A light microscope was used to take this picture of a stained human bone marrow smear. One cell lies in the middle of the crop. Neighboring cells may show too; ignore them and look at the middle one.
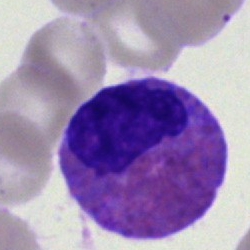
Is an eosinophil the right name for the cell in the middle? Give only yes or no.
yes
